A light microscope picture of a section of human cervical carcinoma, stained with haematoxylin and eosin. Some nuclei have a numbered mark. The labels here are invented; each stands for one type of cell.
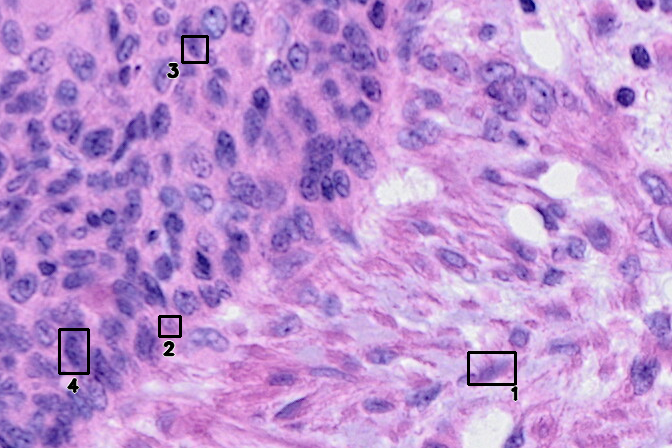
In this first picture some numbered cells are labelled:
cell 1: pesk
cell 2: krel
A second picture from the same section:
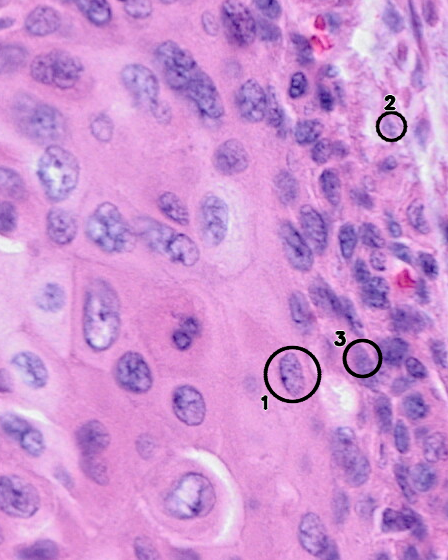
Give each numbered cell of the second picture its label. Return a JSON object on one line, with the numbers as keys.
{"1": "krel", "2": "pesk", "3": "krel"}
